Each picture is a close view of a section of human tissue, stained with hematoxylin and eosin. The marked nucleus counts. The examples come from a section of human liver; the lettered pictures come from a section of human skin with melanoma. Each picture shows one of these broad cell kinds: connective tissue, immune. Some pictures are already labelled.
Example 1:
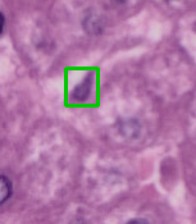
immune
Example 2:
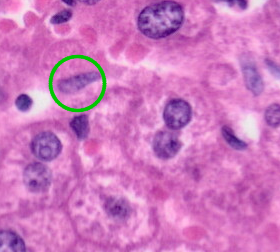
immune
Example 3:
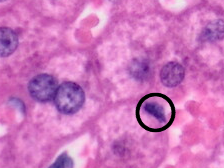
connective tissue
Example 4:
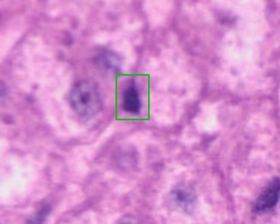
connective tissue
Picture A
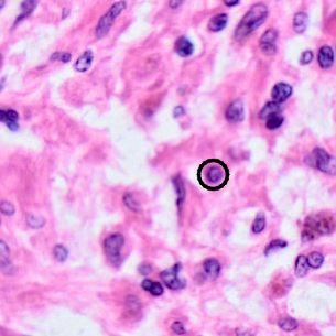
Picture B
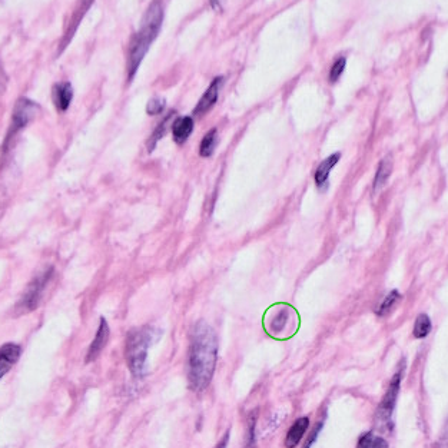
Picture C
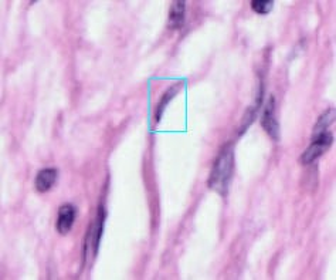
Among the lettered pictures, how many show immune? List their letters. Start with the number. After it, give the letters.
Count: 2 (A, B)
